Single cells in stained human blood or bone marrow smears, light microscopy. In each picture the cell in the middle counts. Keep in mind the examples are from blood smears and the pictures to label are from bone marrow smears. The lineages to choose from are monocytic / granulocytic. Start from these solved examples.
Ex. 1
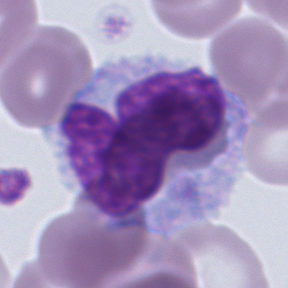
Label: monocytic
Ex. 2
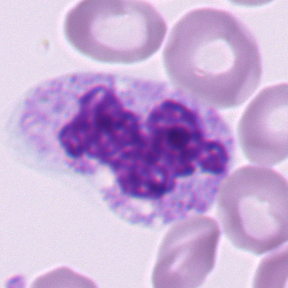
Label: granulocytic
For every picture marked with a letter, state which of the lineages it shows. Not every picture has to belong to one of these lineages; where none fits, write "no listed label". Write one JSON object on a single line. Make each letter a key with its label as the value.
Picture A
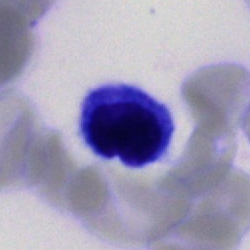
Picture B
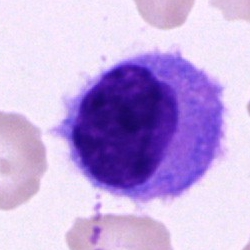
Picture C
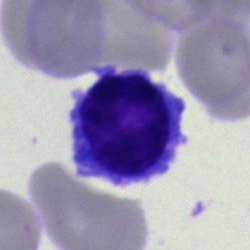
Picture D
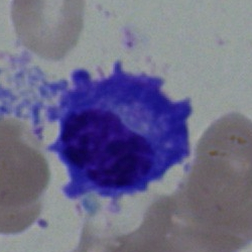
{"A": "no listed label", "B": "no listed label", "C": "no listed label", "D": "no listed label"}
